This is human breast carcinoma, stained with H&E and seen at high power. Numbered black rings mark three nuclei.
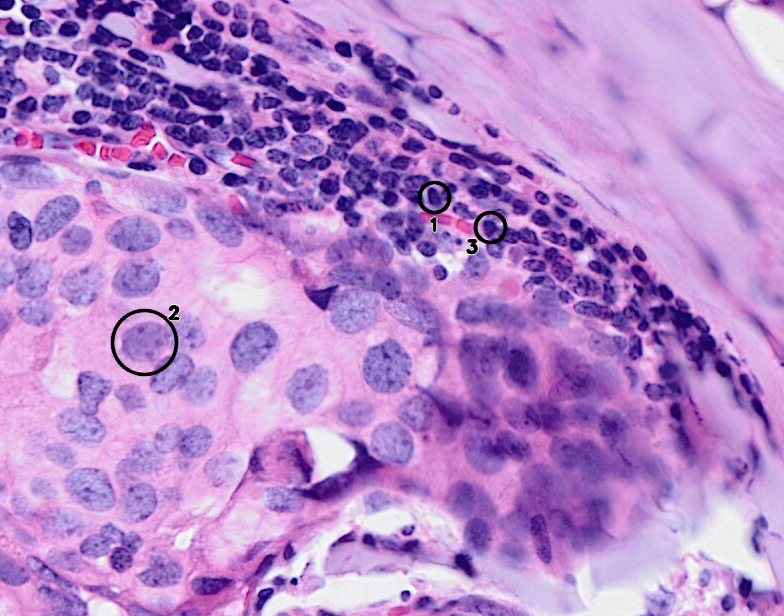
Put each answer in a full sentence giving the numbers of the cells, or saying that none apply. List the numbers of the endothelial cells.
None of the numbered cells are endothelial cells.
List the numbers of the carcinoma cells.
Only one marked cell, number 2, is a carcinoma cell.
